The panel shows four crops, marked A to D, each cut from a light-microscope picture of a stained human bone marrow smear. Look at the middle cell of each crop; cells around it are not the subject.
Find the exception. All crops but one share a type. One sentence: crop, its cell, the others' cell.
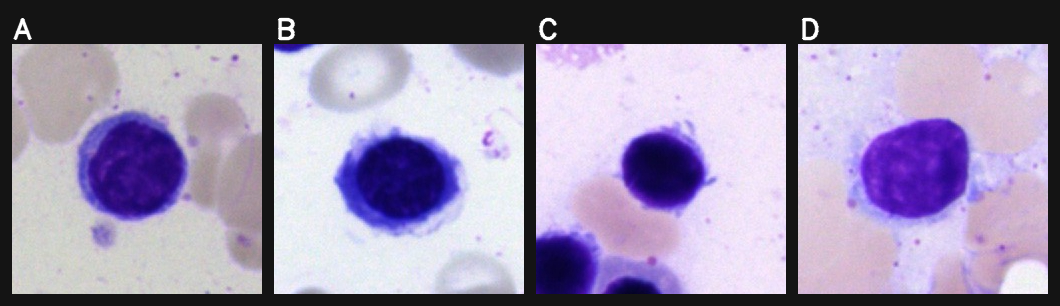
Crop B is different, showing a normoblast, whereas all the others show lymphocytes.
